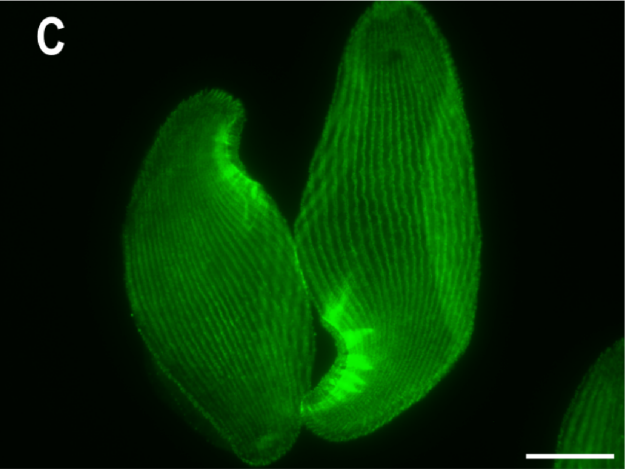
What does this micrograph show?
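Fine green lines run lengthwise in close parallel rows over the whole surface of each cell. A brighter band of short green lines lies along the curved edge near the front of each cell, where the hooked end bends. The pattern of rows covers each cell from end to end, outlining its whole body.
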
